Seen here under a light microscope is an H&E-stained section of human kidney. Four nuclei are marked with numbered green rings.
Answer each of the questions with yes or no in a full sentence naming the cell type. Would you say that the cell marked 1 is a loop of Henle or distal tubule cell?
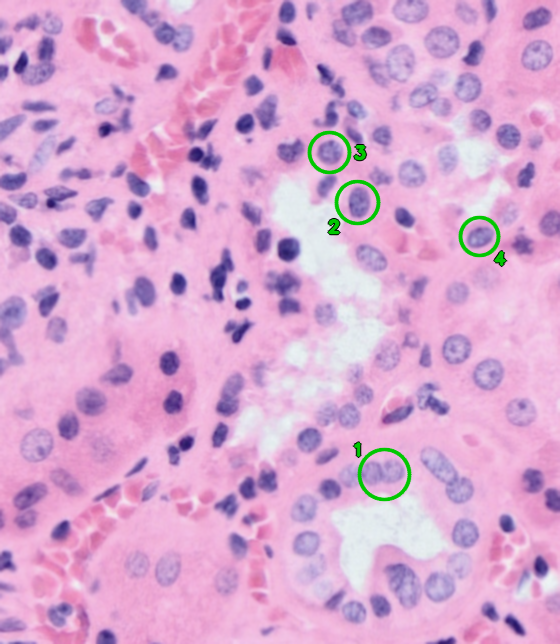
No, cell 1 is not a loop of Henle or distal tubule cell at all but a collecting duct cell.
